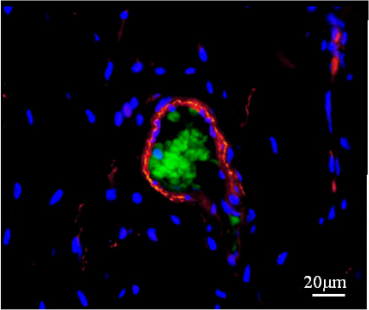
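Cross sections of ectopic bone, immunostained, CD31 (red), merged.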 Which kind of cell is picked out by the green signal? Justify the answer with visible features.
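A compact green cluster fills the lumen of a round red-rimmed ring. The answer: erythrocytes.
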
